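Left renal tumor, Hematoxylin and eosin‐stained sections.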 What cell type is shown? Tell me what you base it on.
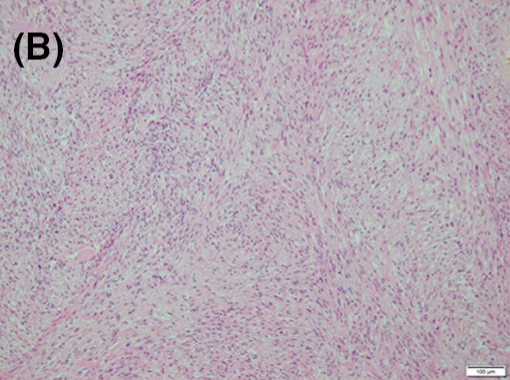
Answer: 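Elongated cells with slender, tapering nuclei. Cells arranged in interlacing fascicles. No clear fat vacuoles among the cells.
Conclusion: spindle‐shaped cells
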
